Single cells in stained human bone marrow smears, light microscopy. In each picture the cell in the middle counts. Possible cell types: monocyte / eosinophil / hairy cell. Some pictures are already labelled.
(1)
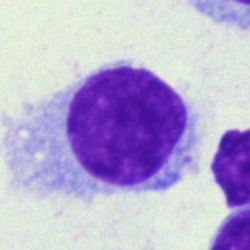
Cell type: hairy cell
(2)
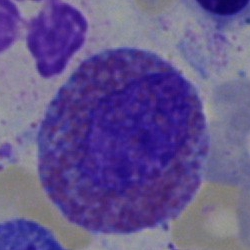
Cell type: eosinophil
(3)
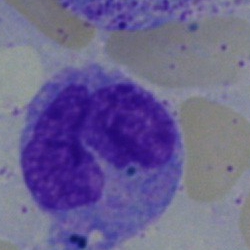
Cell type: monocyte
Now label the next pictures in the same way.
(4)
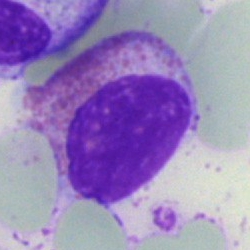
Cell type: eosinophil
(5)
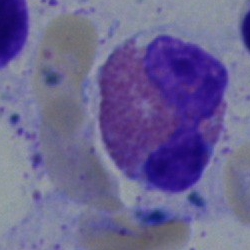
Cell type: eosinophil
